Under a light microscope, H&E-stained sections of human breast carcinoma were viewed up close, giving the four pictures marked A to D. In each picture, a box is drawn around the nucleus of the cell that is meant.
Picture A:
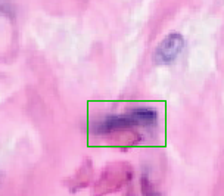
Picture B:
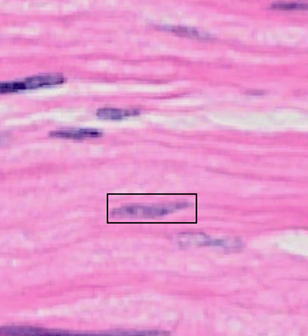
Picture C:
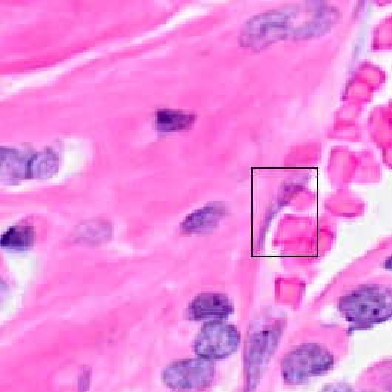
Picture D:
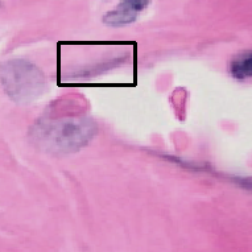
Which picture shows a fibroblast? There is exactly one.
B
